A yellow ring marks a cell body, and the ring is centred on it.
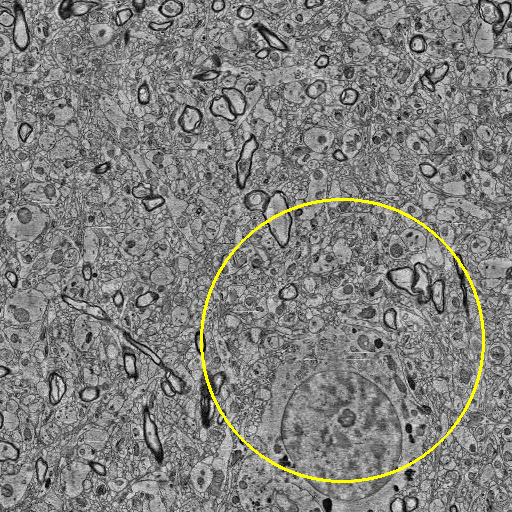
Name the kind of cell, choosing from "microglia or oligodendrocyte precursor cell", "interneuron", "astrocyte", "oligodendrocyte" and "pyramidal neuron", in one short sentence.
The marked cell body belongs to an oligodendrocyte.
